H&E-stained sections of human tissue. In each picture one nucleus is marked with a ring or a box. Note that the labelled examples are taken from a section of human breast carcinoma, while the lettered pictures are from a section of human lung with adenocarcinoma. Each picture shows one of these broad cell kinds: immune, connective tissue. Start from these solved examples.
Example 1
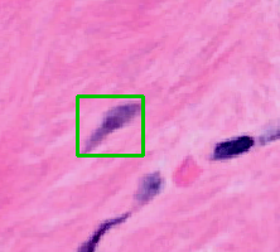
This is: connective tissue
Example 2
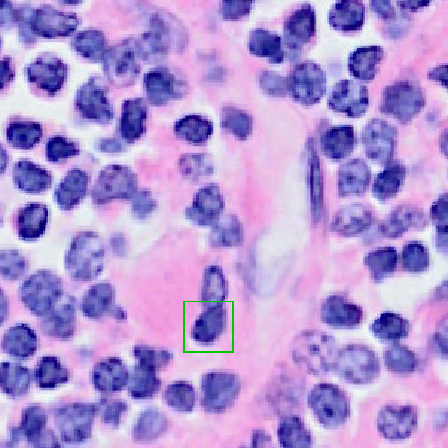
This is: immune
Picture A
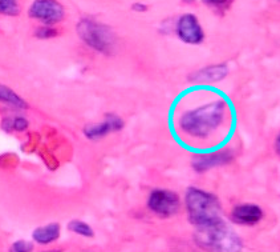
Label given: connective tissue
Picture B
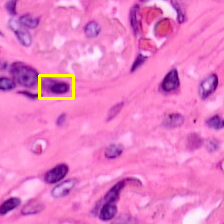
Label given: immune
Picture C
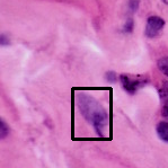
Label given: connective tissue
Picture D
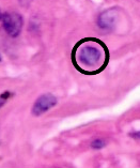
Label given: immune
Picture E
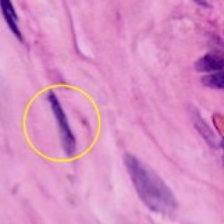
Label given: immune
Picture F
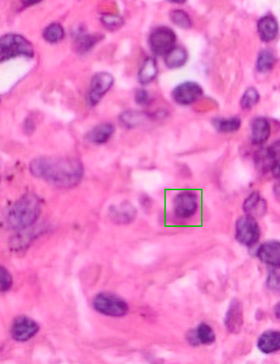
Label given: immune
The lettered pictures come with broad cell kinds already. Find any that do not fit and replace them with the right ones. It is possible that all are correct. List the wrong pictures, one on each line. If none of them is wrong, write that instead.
E is labelled immune; correct label: connective tissue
